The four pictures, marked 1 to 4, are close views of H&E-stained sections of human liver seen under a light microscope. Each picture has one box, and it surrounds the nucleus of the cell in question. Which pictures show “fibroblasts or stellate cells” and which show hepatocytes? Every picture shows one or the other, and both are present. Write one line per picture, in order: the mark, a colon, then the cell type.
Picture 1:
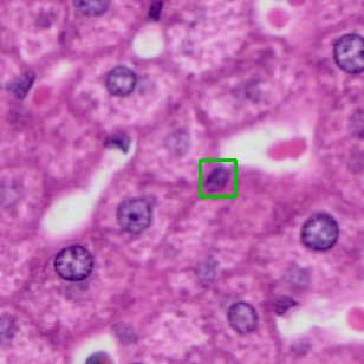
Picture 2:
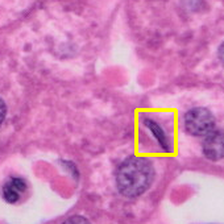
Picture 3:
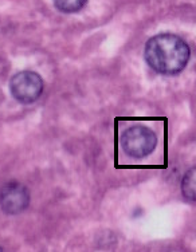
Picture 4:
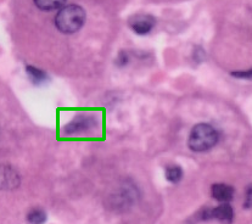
1: fibroblast or stellate cell
2: fibroblast or stellate cell
3: hepatocyte
4: fibroblast or stellate cell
